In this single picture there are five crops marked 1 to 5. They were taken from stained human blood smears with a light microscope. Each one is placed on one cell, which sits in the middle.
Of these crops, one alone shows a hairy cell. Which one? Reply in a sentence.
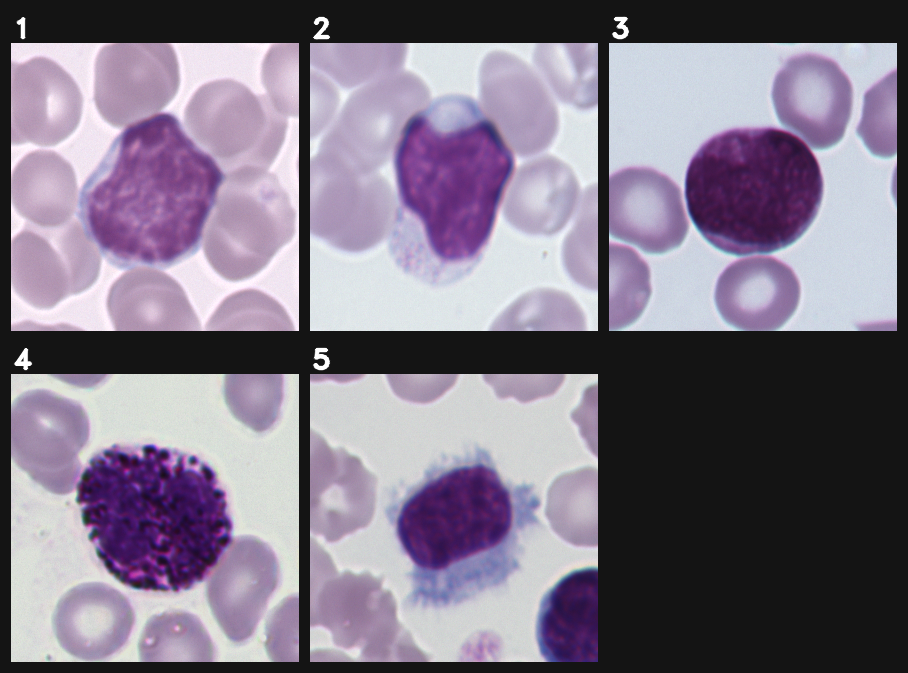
It is crop 5, not any other, that shows a hairy cell.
